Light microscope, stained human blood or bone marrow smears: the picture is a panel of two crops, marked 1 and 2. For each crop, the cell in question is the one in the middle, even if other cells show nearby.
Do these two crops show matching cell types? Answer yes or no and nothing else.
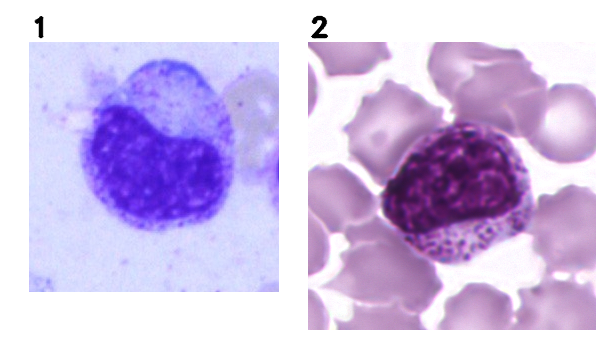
yes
